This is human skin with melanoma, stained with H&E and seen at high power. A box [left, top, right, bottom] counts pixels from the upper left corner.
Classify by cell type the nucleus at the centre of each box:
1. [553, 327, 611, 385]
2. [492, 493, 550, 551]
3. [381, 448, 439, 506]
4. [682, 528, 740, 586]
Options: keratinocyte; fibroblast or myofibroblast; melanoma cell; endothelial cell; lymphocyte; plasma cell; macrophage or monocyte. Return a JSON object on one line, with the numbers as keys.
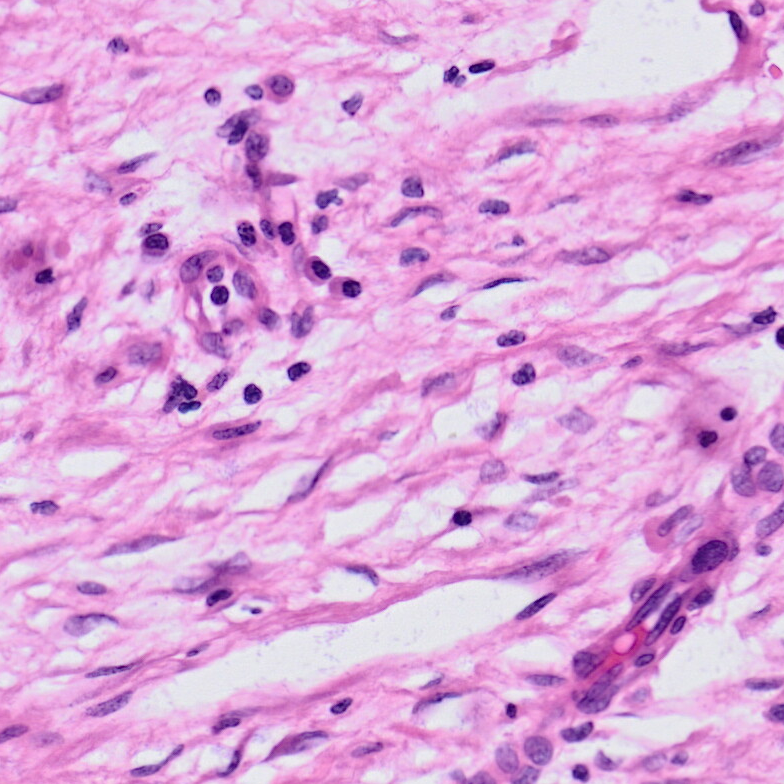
{"1": "fibroblast or myofibroblast", "2": "fibroblast or myofibroblast", "3": "fibroblast or myofibroblast", "4": "endothelial cell"}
